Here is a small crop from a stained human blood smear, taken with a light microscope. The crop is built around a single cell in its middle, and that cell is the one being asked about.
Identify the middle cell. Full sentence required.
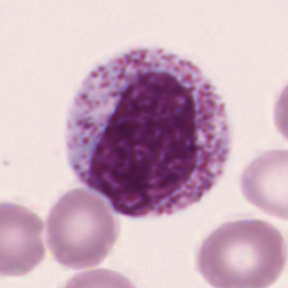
Here the cell in the middle is a myelocyte.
